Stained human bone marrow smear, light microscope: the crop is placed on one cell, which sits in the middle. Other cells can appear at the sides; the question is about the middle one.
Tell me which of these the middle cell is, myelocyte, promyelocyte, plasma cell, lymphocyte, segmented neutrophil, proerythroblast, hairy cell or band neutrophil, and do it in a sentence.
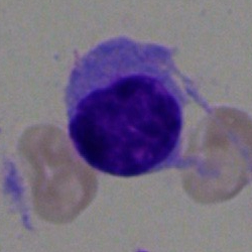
The centrally located cell in the crop is a hairy cell.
